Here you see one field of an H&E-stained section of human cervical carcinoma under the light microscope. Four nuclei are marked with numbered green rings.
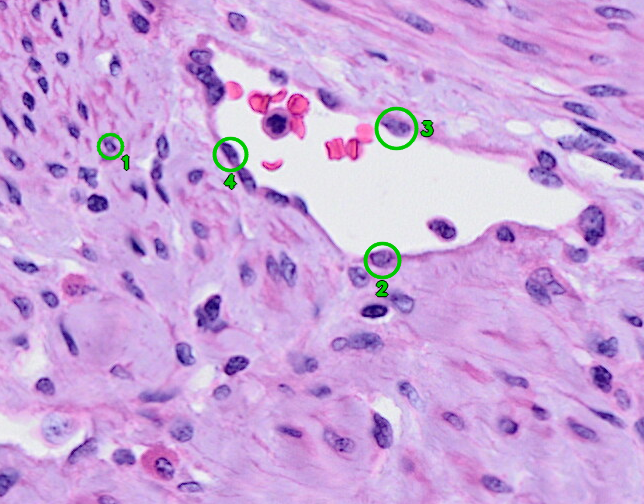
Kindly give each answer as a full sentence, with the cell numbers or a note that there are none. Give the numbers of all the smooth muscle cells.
Of the numbered cells, only cell 1 is a smooth muscle cell.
